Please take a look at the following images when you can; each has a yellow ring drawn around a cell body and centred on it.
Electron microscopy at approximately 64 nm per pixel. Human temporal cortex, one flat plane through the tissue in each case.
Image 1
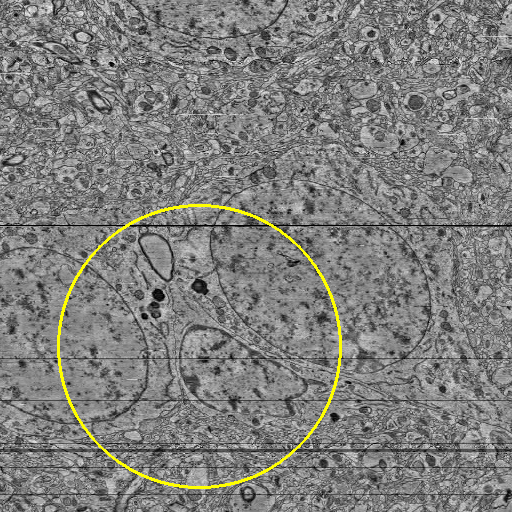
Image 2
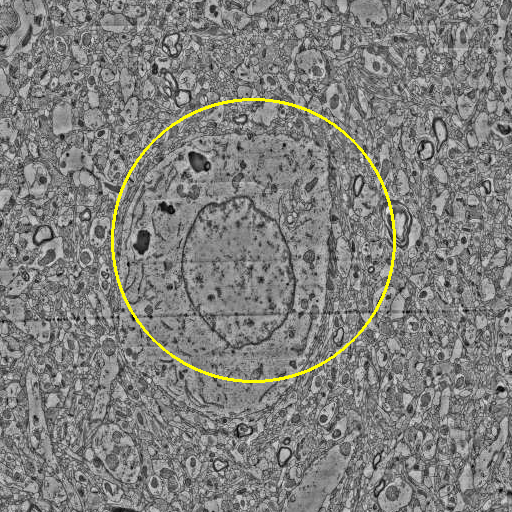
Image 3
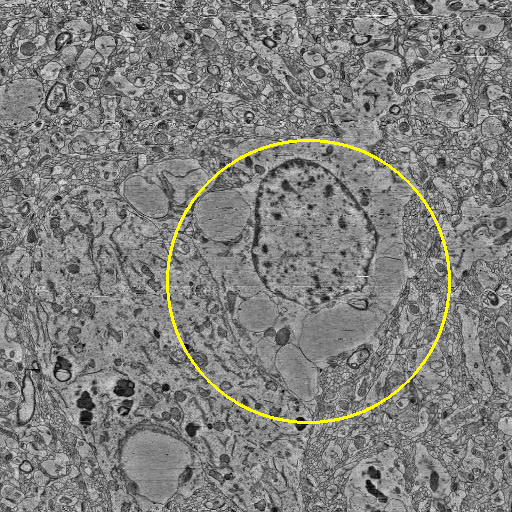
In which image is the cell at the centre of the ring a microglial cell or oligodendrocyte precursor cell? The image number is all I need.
1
